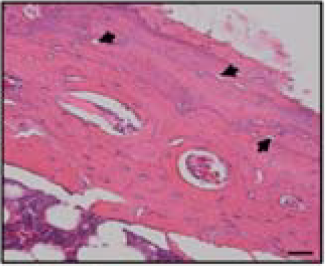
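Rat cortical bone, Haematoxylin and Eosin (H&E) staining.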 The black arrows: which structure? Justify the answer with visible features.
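Empty lacunae. The arrows point to small spaces within the pink bone matrix. No dark purple nucleus is seen in the spaces the arrows point to.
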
